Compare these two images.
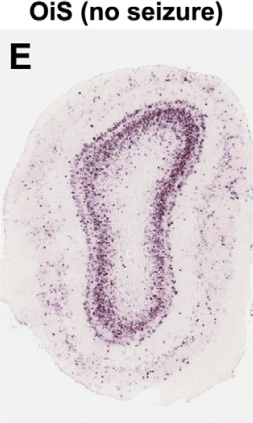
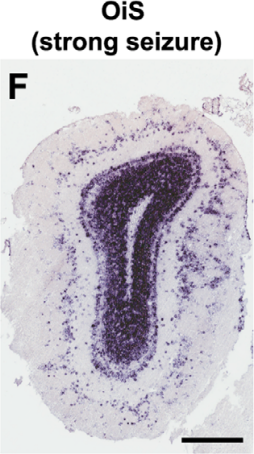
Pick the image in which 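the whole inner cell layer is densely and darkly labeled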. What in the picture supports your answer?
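Second image: the inner layer around the core is a solid, nearly black purple band. First image: the inner layer shows a thinner band of separate purple dots on a pale background.
Conclusion: the second image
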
